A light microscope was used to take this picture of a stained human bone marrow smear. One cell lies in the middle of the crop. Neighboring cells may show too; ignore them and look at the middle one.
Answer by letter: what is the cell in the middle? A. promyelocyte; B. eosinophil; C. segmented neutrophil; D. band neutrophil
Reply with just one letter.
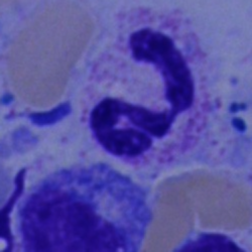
C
